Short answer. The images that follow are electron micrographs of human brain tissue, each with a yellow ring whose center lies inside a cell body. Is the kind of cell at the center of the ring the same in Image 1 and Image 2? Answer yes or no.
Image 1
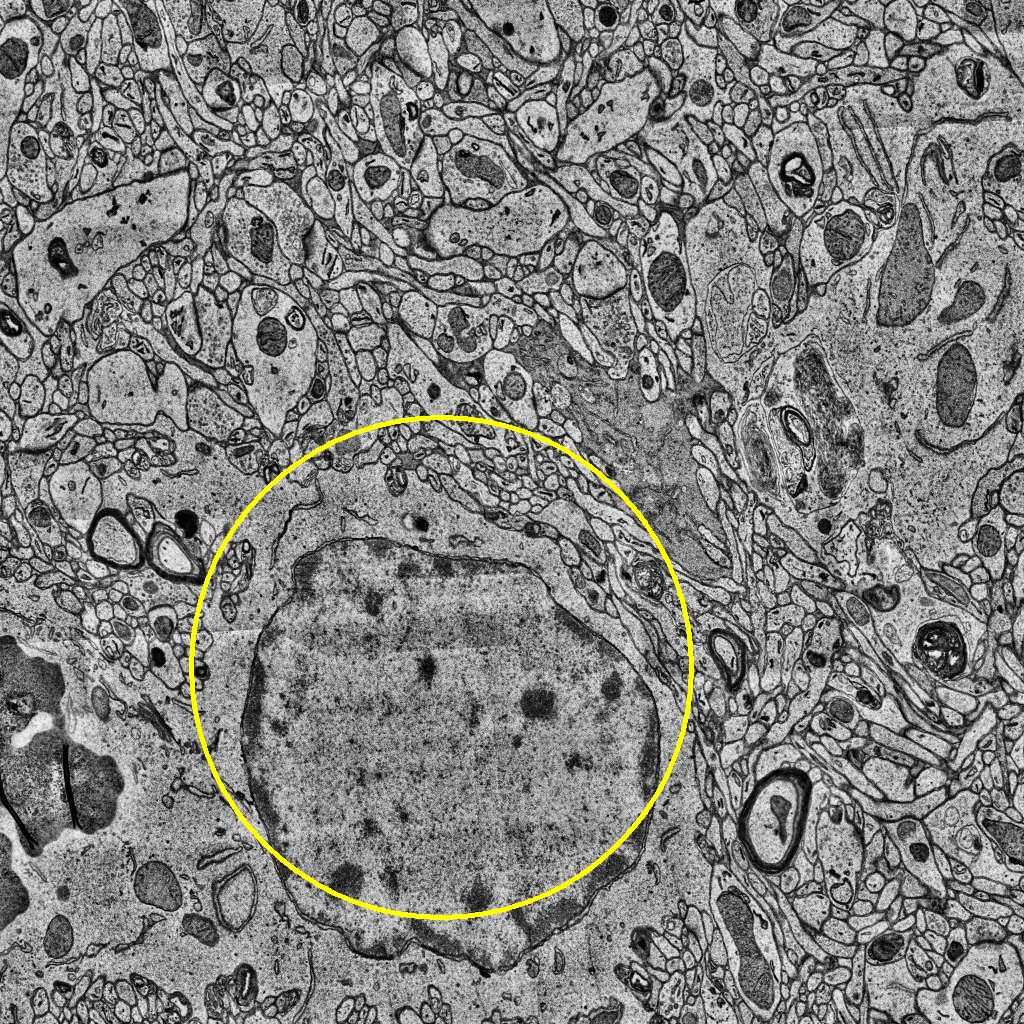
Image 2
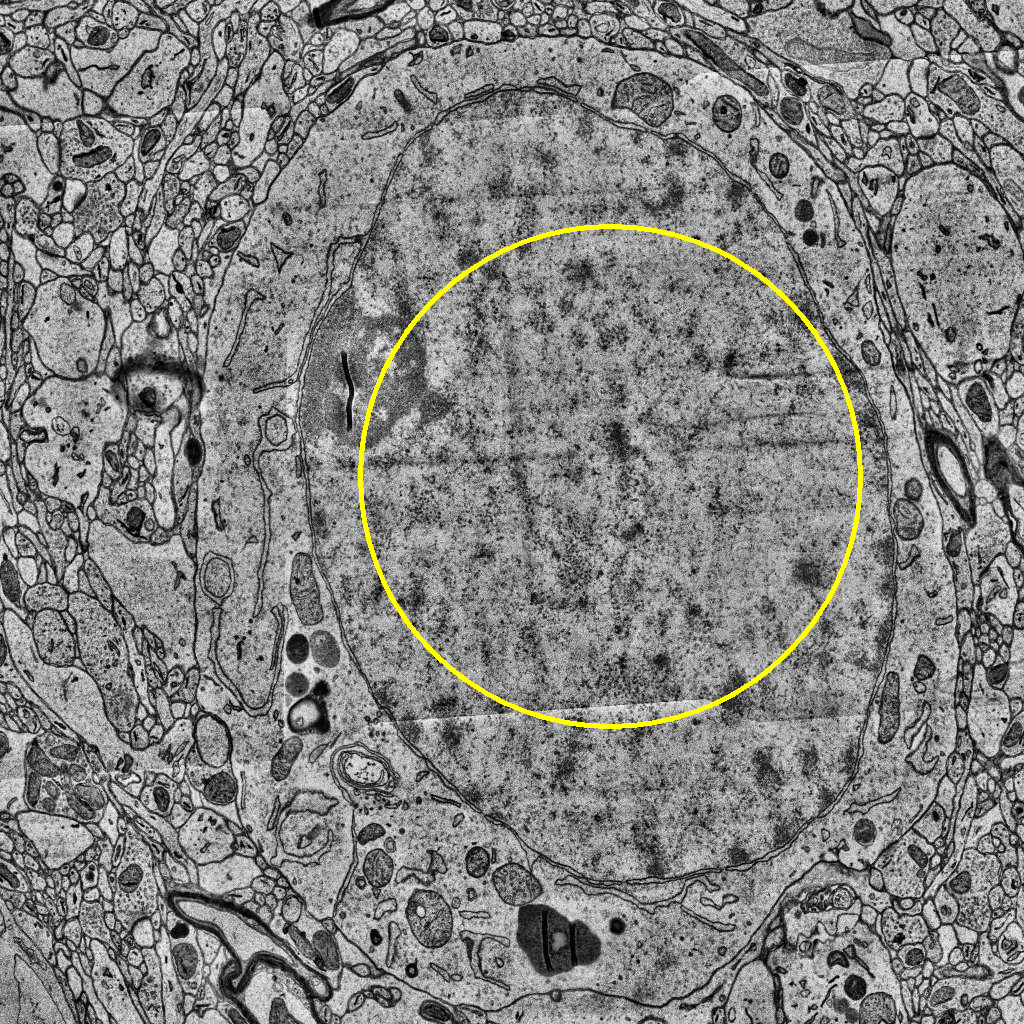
no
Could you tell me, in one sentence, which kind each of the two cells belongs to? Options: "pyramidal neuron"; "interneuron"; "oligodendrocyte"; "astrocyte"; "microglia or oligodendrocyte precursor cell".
The cell in the first picture is an astrocyte, and the cell in the second is an interneuron.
